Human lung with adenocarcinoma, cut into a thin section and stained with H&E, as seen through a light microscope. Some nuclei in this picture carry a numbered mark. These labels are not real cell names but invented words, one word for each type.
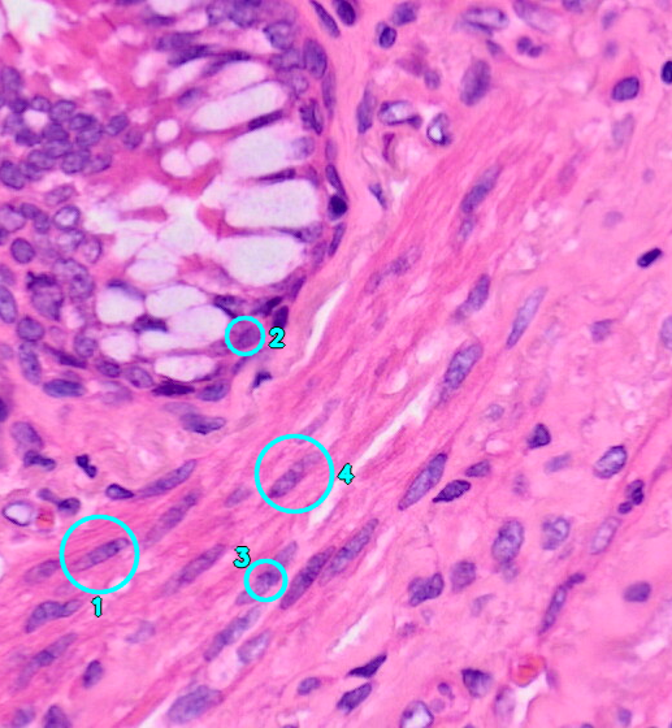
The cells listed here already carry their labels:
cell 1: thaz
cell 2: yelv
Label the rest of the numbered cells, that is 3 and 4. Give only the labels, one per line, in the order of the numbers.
thaz
thaz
